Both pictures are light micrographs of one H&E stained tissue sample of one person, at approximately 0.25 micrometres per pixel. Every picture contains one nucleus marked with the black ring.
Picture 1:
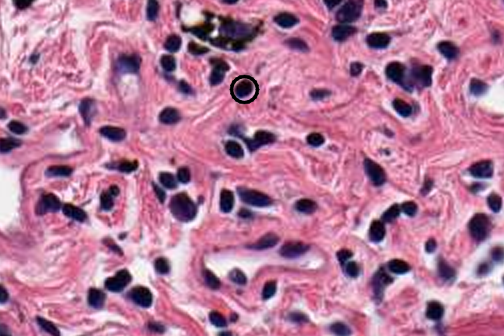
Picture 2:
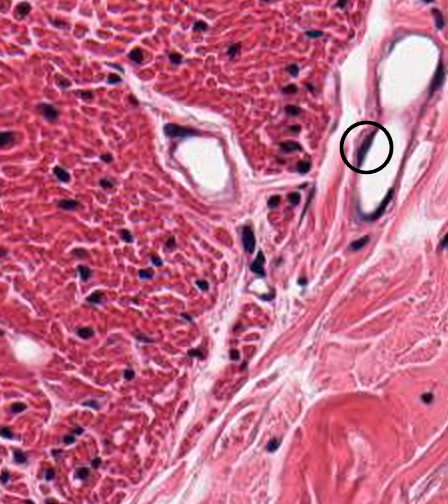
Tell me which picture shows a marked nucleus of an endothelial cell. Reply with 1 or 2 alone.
2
